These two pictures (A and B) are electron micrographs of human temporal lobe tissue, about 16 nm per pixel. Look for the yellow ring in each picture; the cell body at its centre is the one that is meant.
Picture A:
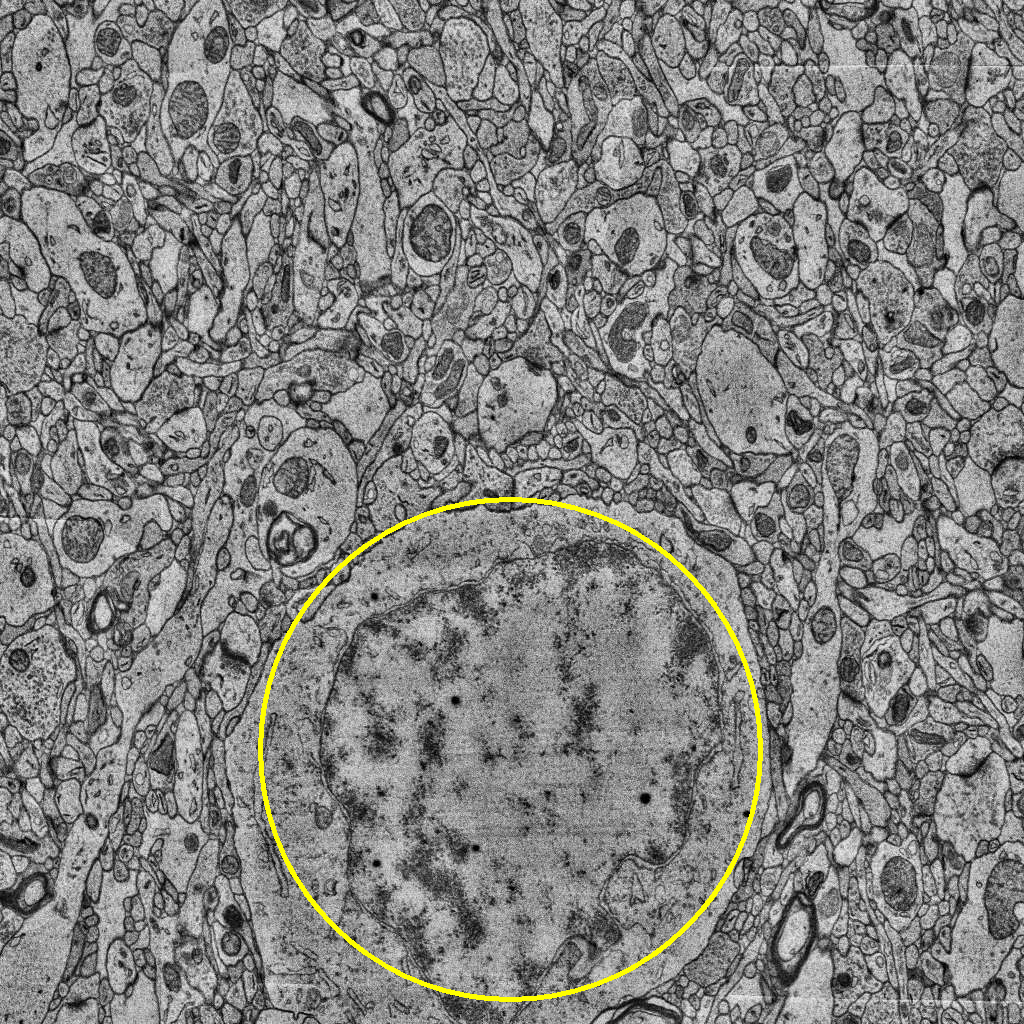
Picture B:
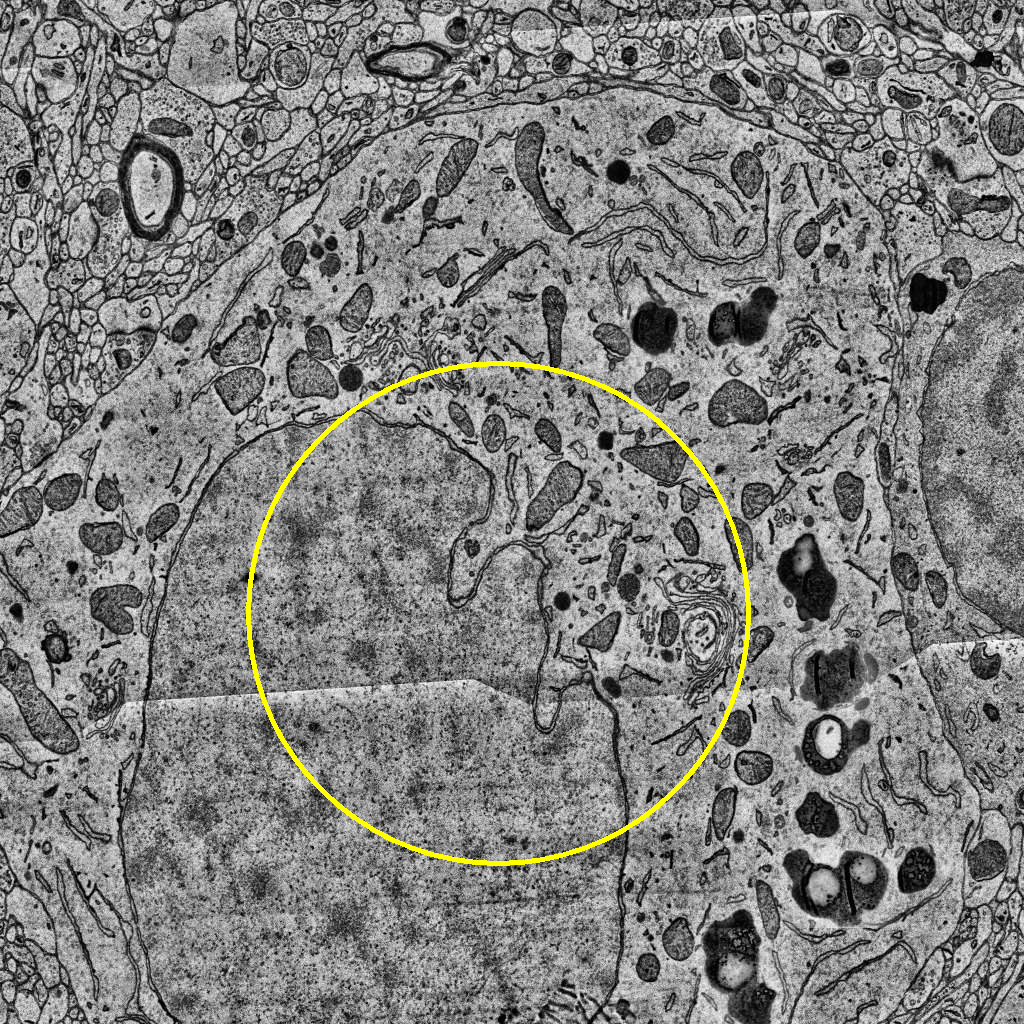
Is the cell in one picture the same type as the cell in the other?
Yes; the cells in both pictures are interneurons.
